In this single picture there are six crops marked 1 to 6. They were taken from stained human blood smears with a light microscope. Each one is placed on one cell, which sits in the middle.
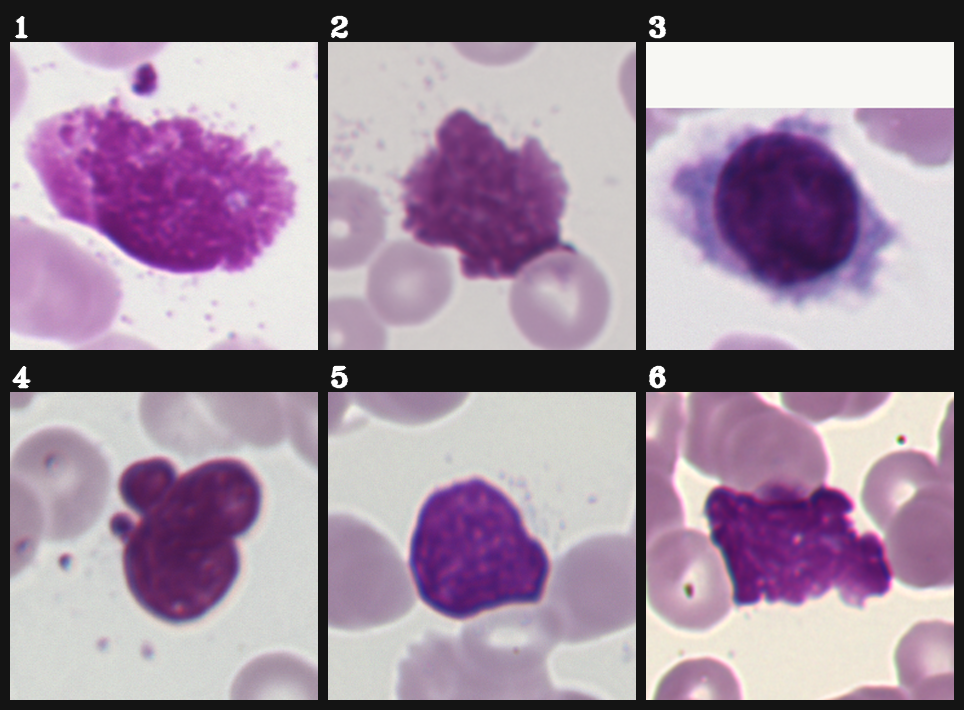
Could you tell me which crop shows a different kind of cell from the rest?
3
